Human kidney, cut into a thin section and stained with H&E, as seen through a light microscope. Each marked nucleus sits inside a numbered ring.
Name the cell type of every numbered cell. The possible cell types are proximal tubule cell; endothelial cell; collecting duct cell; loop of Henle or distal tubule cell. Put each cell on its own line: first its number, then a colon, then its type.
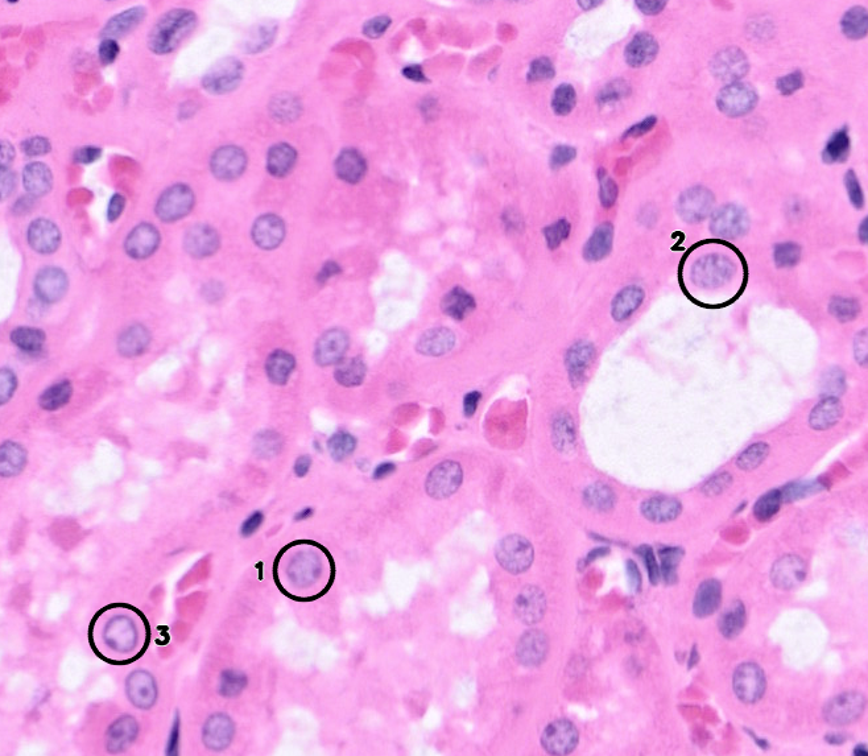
1: proximal tubule cell
2: loop of Henle or distal tubule cell
3: proximal tubule cell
